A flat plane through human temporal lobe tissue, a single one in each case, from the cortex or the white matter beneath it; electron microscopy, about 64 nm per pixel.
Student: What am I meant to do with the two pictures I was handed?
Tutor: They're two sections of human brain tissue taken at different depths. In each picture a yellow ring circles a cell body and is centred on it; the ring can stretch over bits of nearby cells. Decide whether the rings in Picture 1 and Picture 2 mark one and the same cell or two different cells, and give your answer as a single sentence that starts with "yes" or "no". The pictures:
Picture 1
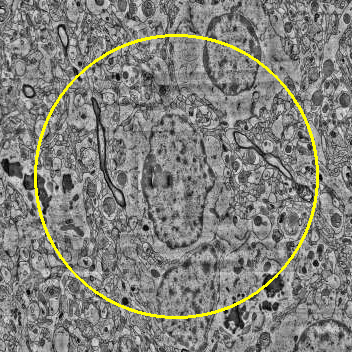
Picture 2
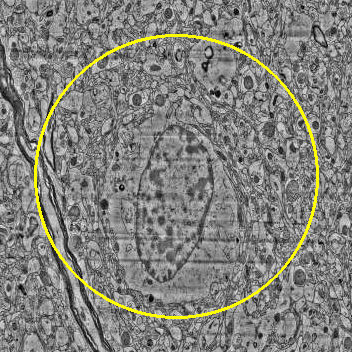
No, the two rings outline two separate cells in this micrograph.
